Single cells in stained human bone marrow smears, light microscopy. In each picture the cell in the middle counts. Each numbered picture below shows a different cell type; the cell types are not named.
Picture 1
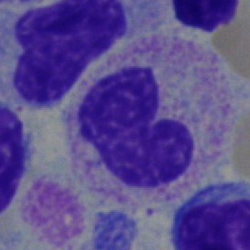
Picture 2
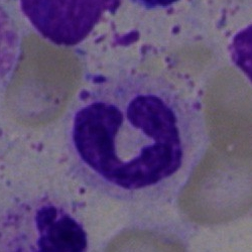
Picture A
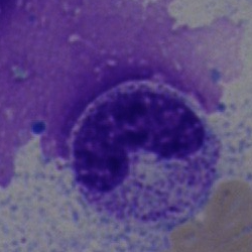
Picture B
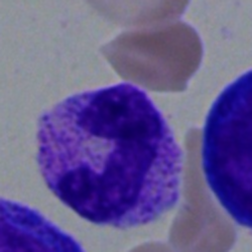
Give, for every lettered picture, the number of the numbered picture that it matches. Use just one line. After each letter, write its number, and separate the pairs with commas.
A 1, B 1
